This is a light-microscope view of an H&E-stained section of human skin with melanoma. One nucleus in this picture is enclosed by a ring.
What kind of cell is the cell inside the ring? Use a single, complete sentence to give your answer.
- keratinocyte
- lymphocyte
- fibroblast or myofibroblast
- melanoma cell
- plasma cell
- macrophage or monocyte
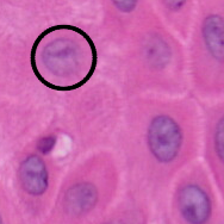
The identity of the cell inside the ring is that of a keratinocyte.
